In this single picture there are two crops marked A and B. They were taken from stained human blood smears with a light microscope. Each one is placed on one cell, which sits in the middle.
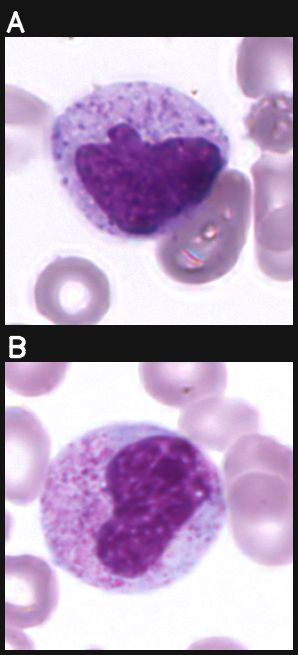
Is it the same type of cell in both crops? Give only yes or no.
yes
